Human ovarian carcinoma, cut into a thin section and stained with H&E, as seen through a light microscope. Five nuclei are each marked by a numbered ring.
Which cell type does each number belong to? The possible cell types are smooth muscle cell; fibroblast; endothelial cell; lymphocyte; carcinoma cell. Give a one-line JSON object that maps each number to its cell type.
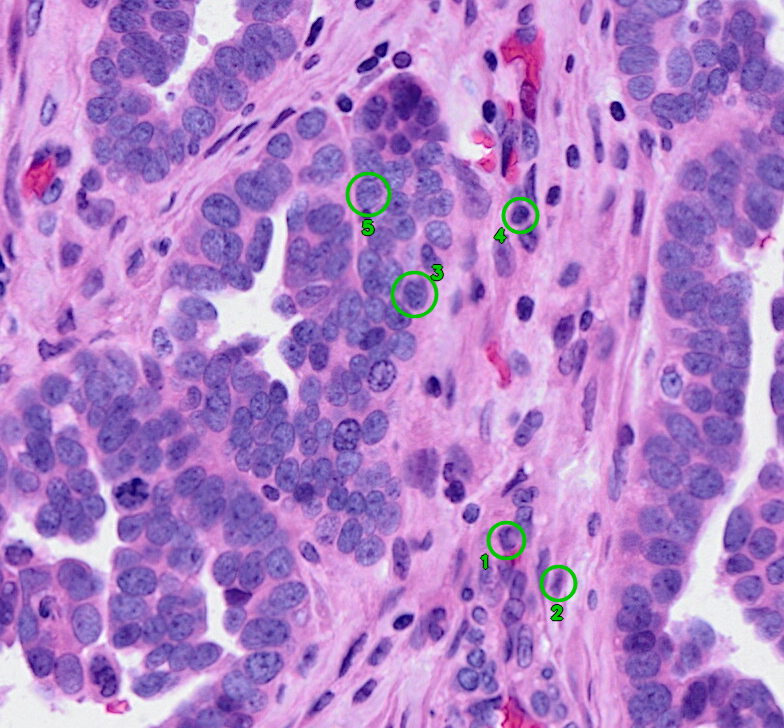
{"1": "endothelial cell", "2": "fibroblast", "3": "carcinoma cell", "4": "lymphocyte", "5": "carcinoma cell"}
